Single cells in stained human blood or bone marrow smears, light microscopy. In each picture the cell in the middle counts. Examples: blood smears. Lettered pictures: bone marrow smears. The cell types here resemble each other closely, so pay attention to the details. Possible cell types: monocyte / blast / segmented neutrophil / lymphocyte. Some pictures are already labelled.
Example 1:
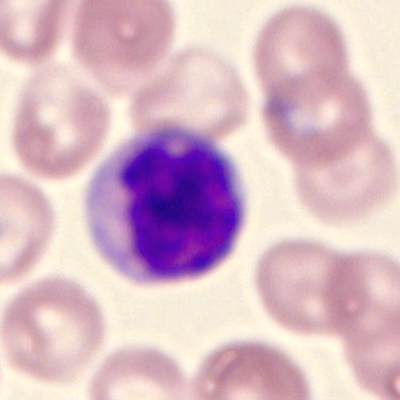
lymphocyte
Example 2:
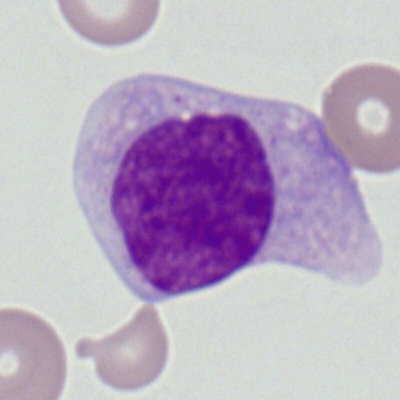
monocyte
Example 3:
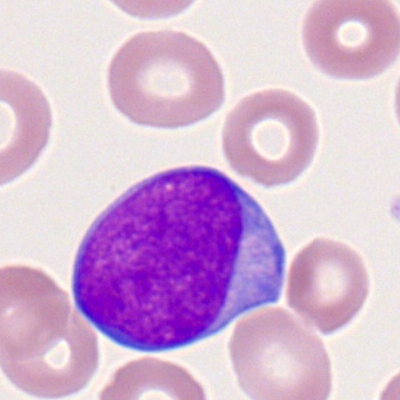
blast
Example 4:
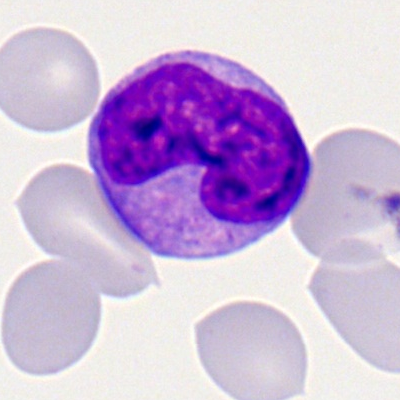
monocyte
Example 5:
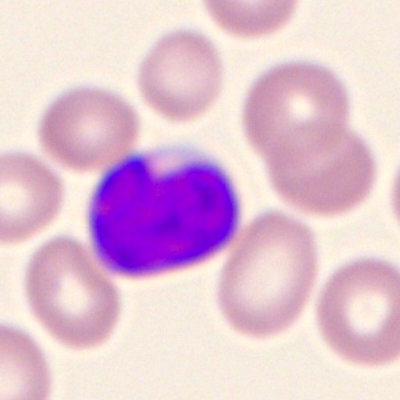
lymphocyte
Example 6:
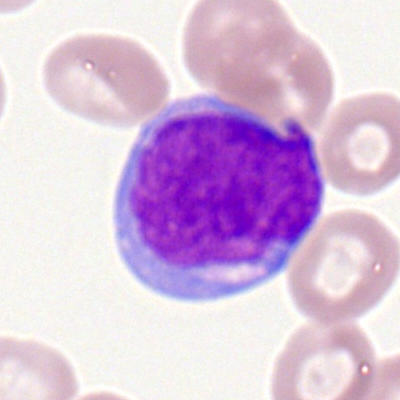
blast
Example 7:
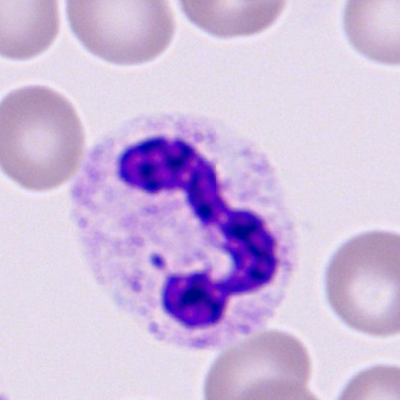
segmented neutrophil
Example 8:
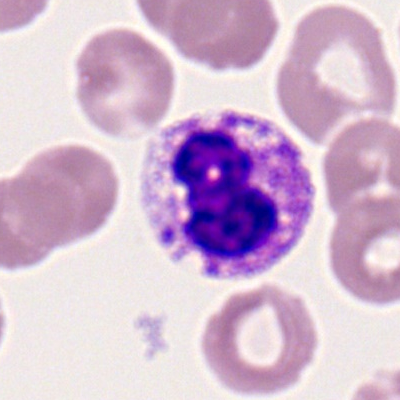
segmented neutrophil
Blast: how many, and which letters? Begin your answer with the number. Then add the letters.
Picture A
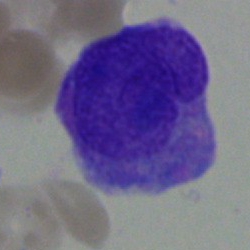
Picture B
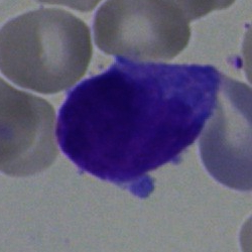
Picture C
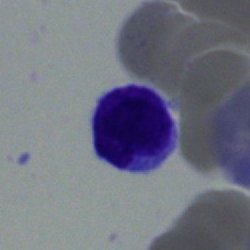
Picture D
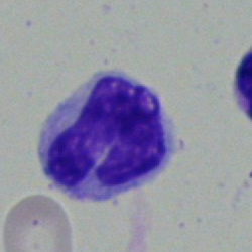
Count: 2 (A, B)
